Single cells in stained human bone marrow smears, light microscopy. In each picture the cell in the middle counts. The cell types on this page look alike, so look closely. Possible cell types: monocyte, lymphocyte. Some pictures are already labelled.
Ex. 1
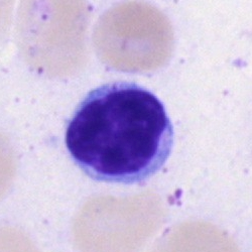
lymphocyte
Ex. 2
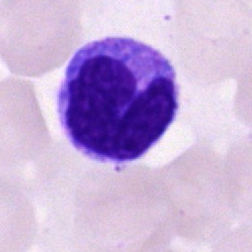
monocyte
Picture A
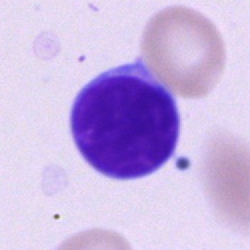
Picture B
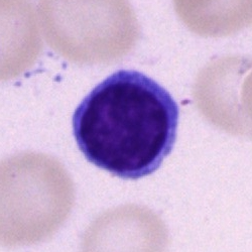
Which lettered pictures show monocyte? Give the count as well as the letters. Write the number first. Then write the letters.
0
